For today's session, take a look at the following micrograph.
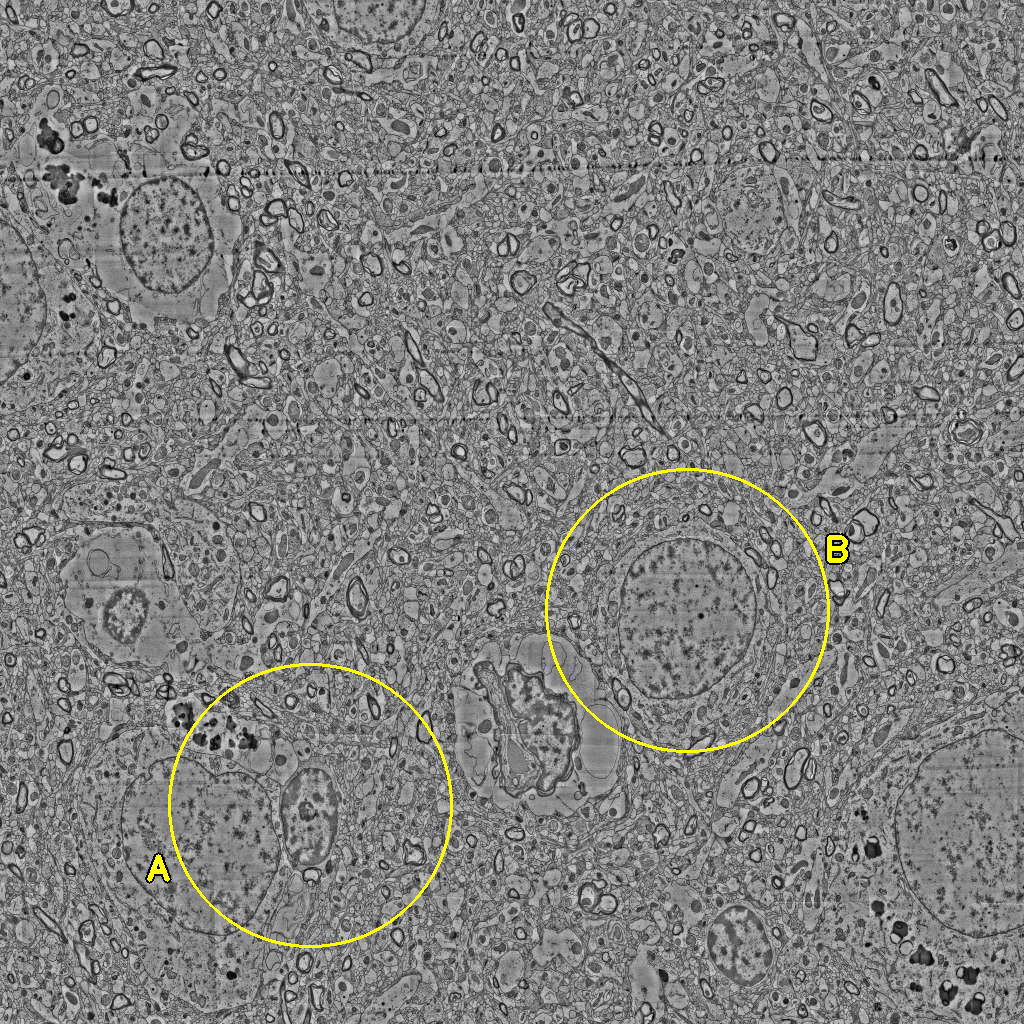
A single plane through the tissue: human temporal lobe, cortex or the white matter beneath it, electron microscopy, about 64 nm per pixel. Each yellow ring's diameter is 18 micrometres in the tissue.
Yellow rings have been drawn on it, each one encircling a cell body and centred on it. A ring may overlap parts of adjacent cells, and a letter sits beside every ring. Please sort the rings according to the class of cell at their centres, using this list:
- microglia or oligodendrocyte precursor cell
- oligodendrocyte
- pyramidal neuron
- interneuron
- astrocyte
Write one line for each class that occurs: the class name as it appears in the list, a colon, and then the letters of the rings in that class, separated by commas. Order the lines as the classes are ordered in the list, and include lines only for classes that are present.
oligodendrocyte: A
interneuron: B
